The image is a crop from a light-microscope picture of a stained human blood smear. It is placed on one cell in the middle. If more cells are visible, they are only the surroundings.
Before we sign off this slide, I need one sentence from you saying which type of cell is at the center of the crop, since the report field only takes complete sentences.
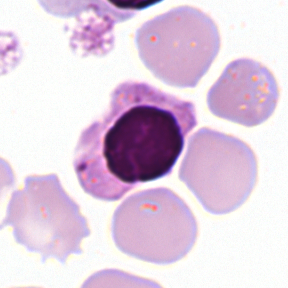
The crop's centre is taken up by a normoblast.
